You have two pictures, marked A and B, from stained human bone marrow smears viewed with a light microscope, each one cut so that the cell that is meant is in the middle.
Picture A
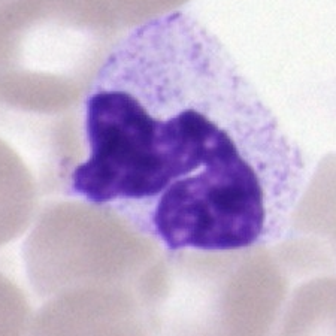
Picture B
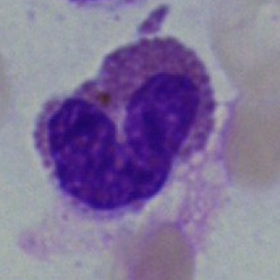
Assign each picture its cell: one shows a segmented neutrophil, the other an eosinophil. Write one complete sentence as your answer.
Picture A shows a segmented neutrophil and picture B shows an eosinophil.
